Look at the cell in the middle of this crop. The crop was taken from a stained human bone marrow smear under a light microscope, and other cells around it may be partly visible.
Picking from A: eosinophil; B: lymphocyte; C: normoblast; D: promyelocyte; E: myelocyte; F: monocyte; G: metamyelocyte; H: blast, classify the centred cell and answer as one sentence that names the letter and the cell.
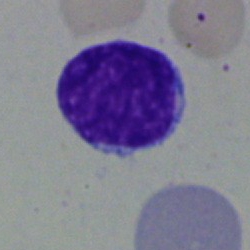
Since the cell in the centre is a lymphocyte, the correct option is B.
